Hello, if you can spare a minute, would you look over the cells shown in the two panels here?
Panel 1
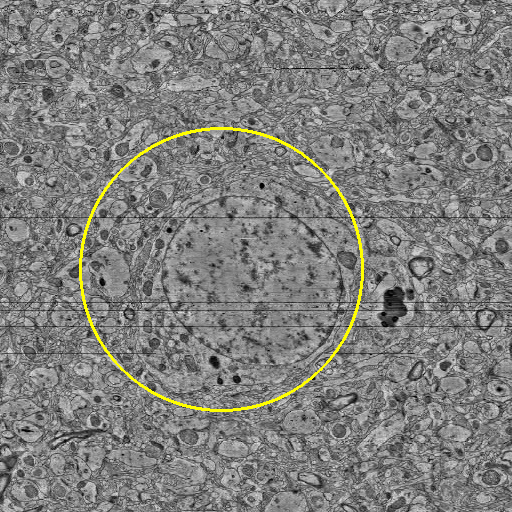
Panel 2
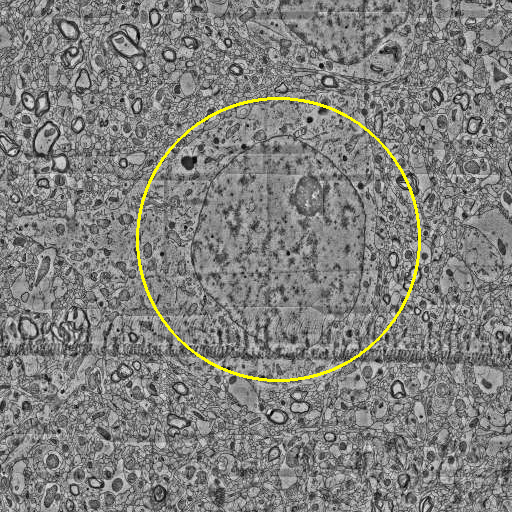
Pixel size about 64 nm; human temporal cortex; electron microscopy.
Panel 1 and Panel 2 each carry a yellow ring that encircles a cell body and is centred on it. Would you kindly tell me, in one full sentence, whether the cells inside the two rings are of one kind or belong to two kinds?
The cells at the centres of the rings in Panel 1 and Panel 2 are of one kind.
